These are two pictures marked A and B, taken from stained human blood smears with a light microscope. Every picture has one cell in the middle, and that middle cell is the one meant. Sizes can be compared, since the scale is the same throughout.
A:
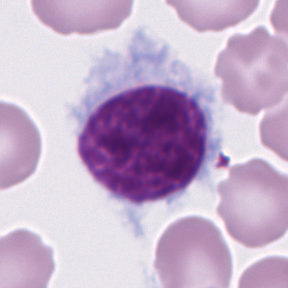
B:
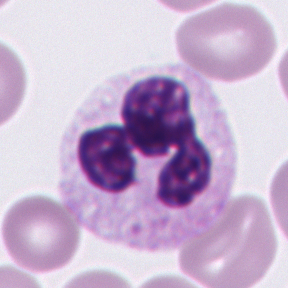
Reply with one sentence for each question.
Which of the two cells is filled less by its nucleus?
The nucleus fills less of the cell in crop B than in crop A.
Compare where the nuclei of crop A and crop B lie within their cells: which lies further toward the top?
Seen within its cell, the nucleus in crop B lies further toward the top.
